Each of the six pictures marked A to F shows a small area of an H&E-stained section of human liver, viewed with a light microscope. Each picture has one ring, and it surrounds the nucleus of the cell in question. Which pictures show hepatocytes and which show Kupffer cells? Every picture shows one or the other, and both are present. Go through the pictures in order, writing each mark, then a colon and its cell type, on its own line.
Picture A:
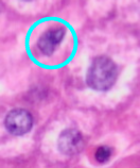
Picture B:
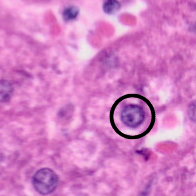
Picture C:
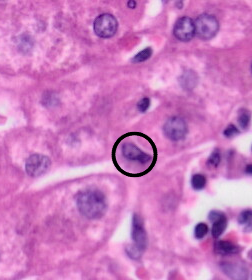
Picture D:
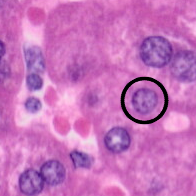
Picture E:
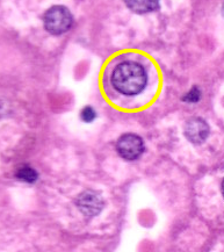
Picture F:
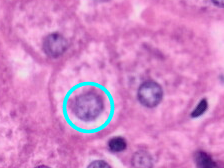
A: Kupffer cell
B: hepatocyte
C: Kupffer cell
D: hepatocyte
E: hepatocyte
F: hepatocyte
